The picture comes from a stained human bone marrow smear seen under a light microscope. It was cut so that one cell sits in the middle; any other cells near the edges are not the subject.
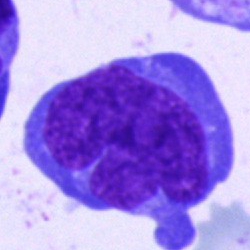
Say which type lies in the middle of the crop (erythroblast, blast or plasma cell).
blast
